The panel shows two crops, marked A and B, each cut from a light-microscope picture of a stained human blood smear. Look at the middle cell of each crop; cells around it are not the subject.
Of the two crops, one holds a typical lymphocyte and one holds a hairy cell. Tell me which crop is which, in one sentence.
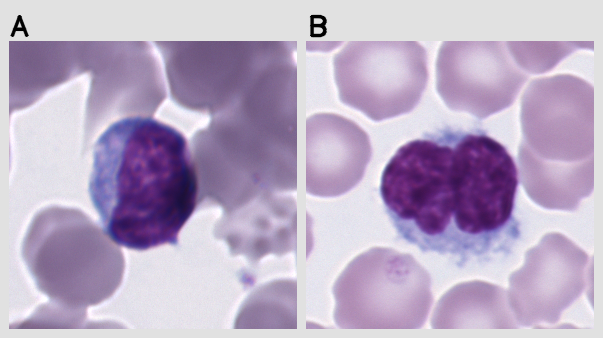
In crop A, a typical lymphocyte is present; in crop B, a hairy cell is present.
